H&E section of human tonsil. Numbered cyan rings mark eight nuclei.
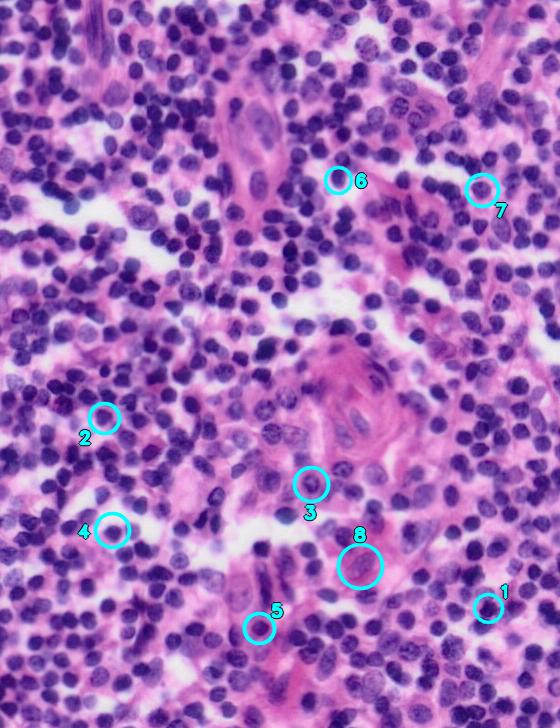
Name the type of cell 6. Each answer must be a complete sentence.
In the tissue shown, cell 6 is a small lymphocyte.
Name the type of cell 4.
The cell that is numbered 4 is a small lymphocyte.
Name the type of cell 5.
Corresponding to an endothelial cell is the cell labelled 5.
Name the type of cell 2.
Among the marked cells, number 2 is a small lymphocyte.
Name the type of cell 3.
Looking at the numbered marks, cell 3 is a plasma cell.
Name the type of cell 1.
What the number 1 marks in this field is a small lymphocyte.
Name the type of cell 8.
The cell identified by the number 8 is an endothelial cell.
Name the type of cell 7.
The cell carrying label 7 is identified as a small lymphocyte.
